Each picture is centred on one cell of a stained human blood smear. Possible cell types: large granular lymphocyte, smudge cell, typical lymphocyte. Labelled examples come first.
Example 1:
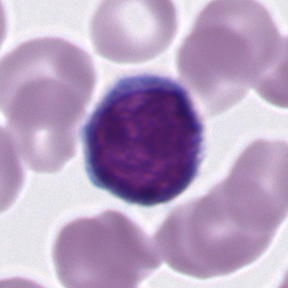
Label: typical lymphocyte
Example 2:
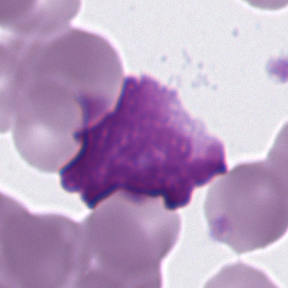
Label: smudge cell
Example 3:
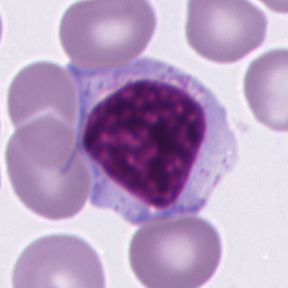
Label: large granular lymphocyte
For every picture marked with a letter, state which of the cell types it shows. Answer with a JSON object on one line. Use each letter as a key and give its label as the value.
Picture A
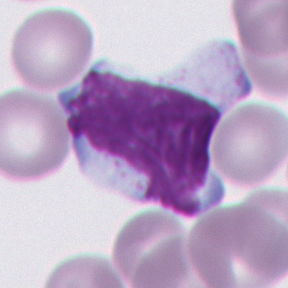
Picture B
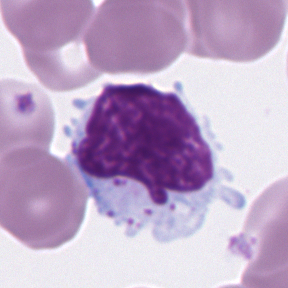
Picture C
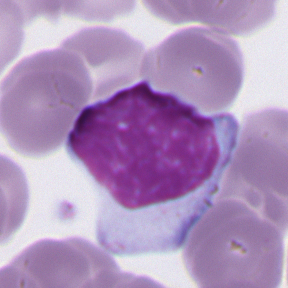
{"A": "large granular lymphocyte", "B": "large granular lymphocyte", "C": "typical lymphocyte"}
